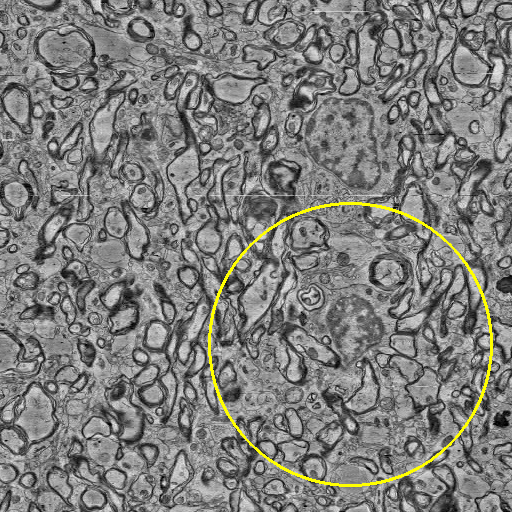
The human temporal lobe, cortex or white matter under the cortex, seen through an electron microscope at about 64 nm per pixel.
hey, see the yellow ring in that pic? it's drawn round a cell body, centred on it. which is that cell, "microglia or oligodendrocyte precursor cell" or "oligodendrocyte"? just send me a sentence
The cell in the ring is an oligodendrocyte.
